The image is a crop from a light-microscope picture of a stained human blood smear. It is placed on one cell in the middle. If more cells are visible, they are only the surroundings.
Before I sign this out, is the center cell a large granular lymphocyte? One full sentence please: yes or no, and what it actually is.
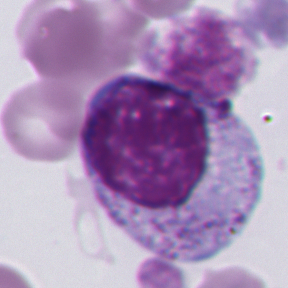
No, the cell in the middle is a myelocyte, not a large granular lymphocyte.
